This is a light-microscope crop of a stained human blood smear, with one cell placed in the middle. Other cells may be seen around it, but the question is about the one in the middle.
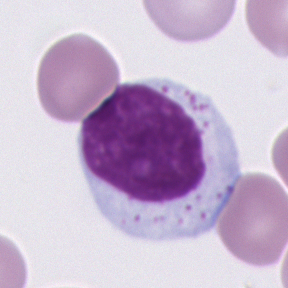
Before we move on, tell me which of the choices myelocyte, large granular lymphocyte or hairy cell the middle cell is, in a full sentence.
Centred in the crop is a large granular lymphocyte.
